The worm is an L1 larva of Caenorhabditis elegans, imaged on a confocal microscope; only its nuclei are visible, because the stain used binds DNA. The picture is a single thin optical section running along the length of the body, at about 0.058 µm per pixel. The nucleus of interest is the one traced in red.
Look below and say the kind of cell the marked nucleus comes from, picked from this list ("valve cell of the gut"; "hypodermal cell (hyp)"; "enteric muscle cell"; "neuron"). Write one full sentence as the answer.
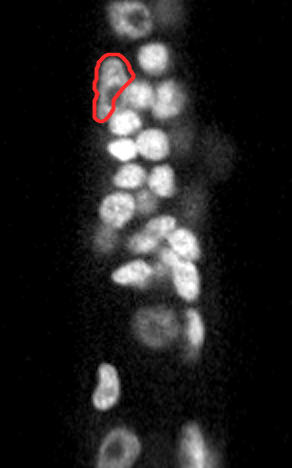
It belongs to a hypodermal cell (hyp).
